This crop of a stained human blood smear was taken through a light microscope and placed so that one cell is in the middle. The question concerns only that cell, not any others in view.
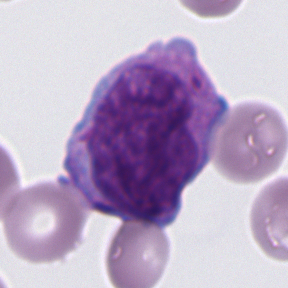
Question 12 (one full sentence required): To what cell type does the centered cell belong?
Centrally within this crop lies an atypical promyelocyte.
